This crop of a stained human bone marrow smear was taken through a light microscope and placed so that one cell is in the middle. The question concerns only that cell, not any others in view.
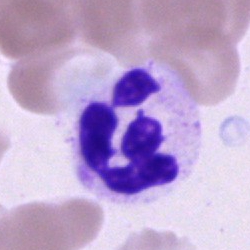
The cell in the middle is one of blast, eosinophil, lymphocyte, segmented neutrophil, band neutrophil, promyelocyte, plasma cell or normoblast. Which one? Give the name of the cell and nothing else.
segmented neutrophil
